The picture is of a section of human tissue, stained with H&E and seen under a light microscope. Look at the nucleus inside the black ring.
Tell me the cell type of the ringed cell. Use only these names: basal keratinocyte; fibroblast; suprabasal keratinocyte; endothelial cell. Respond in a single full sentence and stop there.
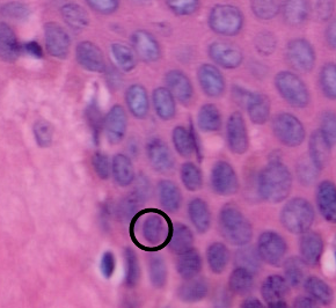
The correct response here is that the ringed cell is a basal keratinocyte.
